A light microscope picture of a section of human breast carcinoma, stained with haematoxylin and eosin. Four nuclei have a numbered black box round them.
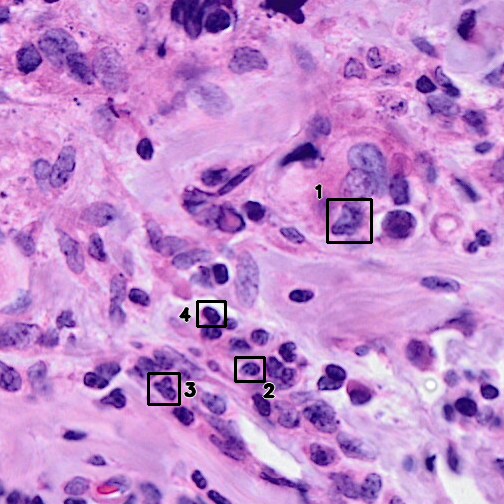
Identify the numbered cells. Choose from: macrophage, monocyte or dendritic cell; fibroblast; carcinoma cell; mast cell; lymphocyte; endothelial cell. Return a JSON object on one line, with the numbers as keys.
{"1": "carcinoma cell", "2": "lymphocyte", "3": "lymphocyte", "4": "lymphocyte"}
